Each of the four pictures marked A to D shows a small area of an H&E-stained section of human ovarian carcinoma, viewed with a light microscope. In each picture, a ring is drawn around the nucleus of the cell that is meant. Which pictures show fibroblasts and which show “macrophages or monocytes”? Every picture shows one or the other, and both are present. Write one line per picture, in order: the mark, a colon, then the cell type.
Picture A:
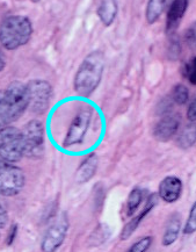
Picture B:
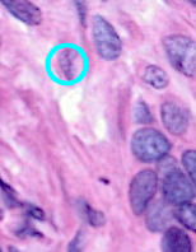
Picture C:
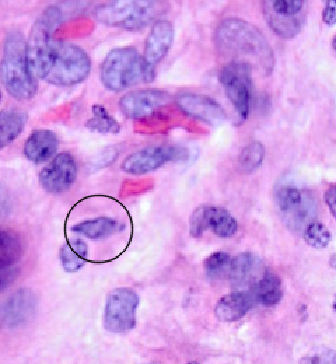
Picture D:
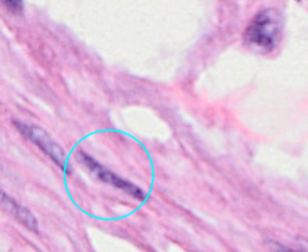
A: fibroblast
B: fibroblast
C: macrophage or monocyte
D: fibroblast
